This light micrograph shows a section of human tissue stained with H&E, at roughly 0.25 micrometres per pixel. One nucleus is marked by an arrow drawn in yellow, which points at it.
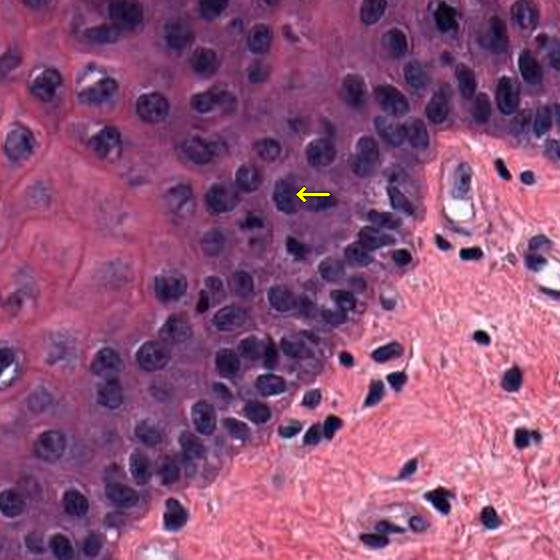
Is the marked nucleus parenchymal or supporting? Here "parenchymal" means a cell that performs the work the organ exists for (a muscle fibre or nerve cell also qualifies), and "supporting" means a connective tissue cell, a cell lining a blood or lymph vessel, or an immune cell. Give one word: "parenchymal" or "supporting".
parenchymal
